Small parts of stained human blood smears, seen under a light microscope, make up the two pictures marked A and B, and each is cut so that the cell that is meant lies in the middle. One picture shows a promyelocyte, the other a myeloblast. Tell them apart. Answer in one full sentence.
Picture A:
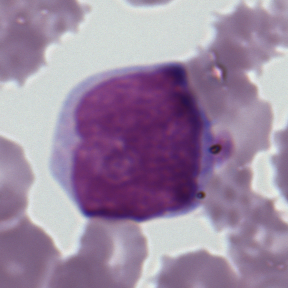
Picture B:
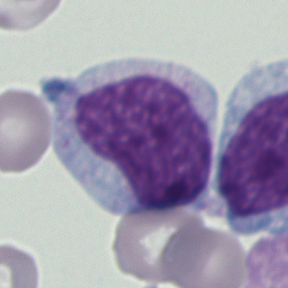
It is picture A that shows a myeloblast, and picture B that shows a promyelocyte.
